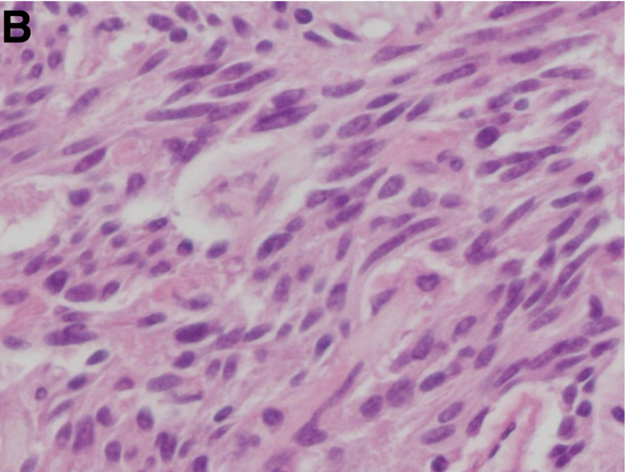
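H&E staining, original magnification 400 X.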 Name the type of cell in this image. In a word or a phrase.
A: monotonous small ovoid to spindle cells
